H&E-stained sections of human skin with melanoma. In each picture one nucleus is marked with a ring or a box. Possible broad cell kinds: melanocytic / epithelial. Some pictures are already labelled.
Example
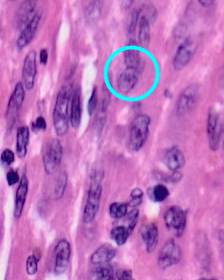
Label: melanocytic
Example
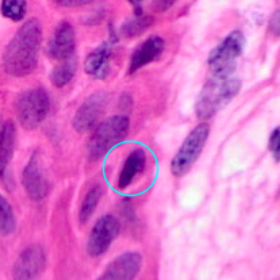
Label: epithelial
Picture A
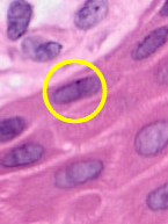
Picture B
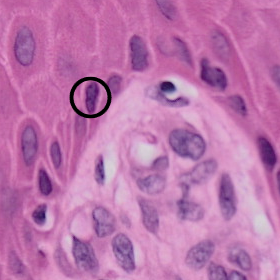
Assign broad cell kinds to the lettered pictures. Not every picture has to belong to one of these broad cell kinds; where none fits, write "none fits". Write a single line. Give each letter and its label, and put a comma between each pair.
A epithelial, B epithelial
